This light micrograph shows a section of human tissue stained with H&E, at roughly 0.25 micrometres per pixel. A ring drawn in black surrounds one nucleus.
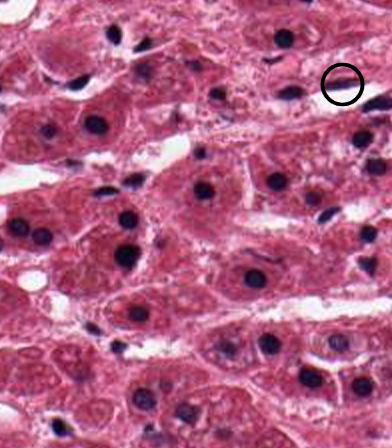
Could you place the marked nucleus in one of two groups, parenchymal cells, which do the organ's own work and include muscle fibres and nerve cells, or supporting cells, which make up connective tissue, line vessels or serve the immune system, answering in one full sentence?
The marked nucleus is the nucleus belonging to a supporting cell.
